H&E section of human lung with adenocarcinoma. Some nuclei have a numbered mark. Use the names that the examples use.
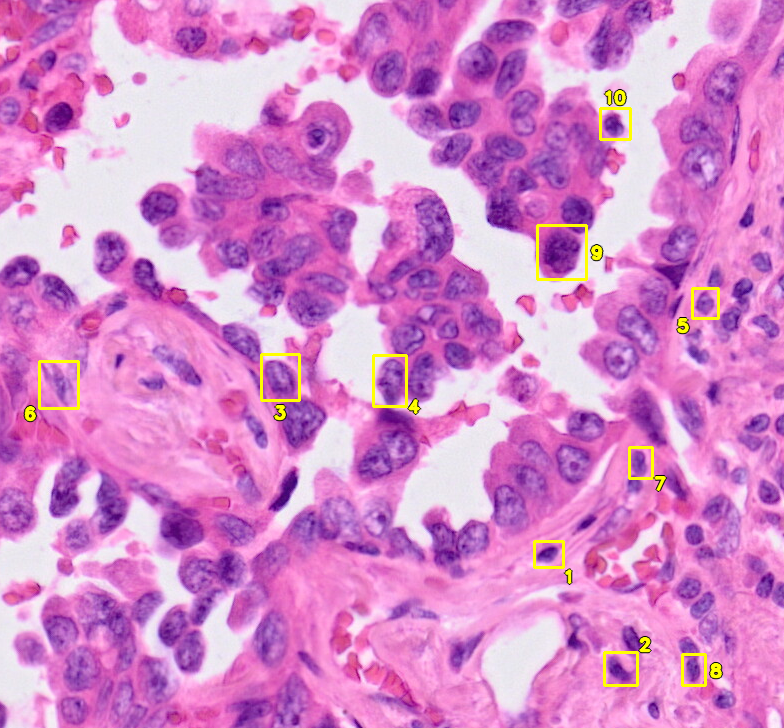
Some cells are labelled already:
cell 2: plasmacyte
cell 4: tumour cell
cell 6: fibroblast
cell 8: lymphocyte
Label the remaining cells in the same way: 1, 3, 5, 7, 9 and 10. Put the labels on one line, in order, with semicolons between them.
lymphocyte; tumour cell; lymphocyte; lymphocyte; tumour cell; lymphocyte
